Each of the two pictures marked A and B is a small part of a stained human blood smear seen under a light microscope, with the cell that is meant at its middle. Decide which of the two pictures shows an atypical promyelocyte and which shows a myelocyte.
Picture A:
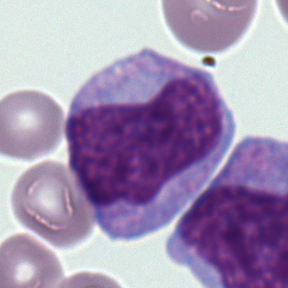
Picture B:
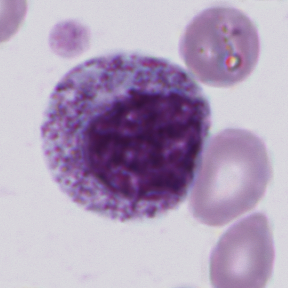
A: atypical promyelocyte
B: myelocyte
